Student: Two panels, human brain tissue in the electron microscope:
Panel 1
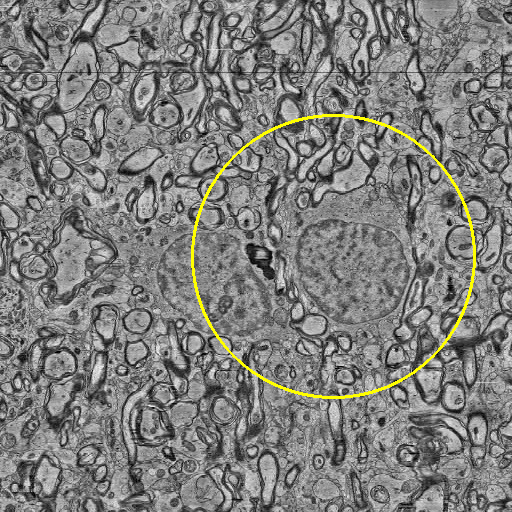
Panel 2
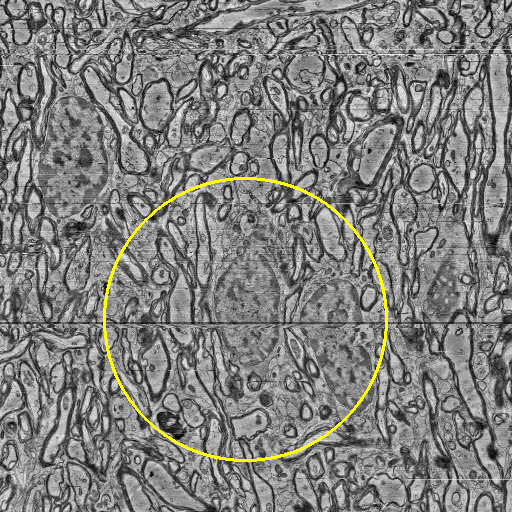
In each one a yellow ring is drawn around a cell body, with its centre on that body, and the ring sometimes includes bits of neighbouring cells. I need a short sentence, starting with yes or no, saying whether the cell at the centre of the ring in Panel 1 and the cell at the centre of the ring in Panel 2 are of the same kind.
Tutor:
Yes, they are the same kind of cell.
